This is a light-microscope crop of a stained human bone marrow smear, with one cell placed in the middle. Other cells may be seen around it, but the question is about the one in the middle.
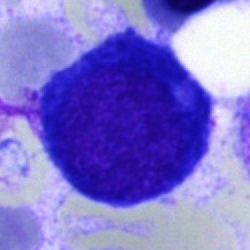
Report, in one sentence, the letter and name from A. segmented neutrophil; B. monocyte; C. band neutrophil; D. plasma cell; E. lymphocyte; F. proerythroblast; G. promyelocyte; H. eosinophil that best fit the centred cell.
Here the right option is F, as the cell in the middle is a proerythroblast.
